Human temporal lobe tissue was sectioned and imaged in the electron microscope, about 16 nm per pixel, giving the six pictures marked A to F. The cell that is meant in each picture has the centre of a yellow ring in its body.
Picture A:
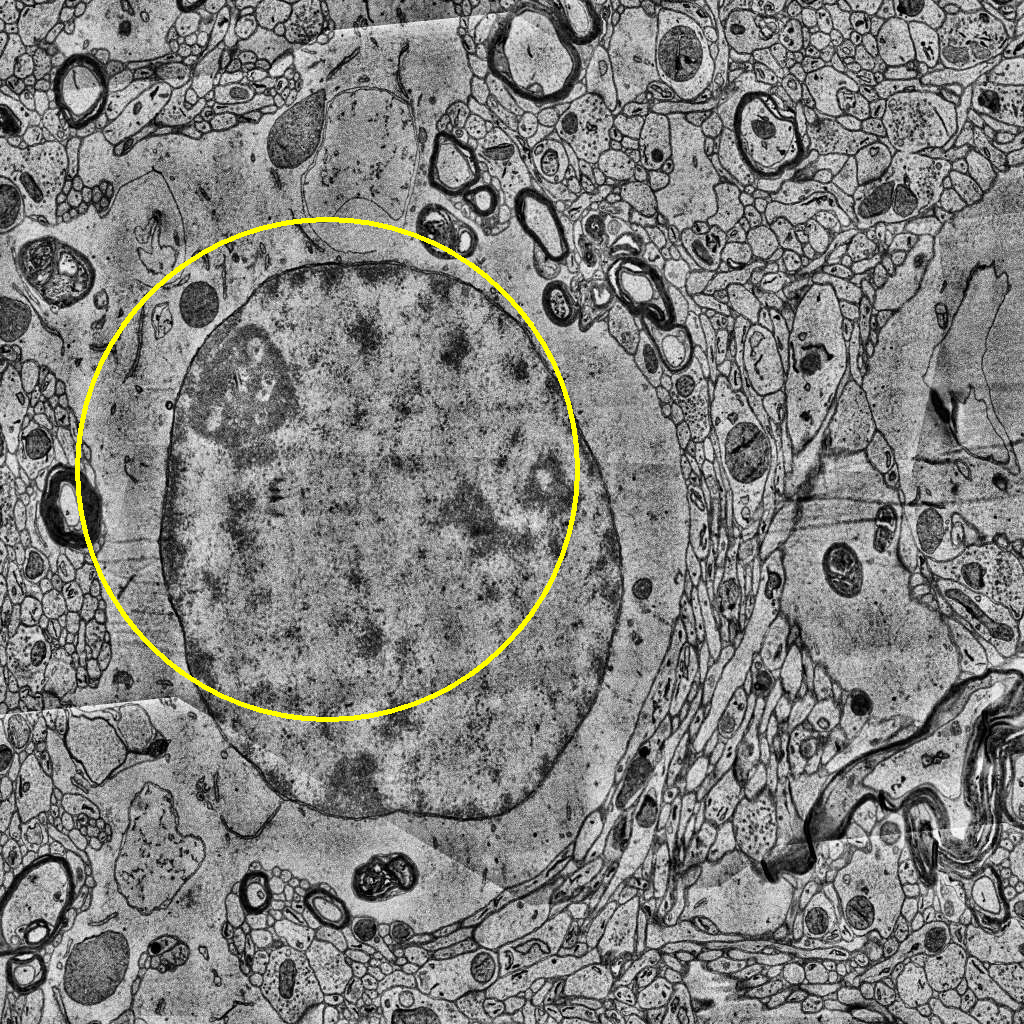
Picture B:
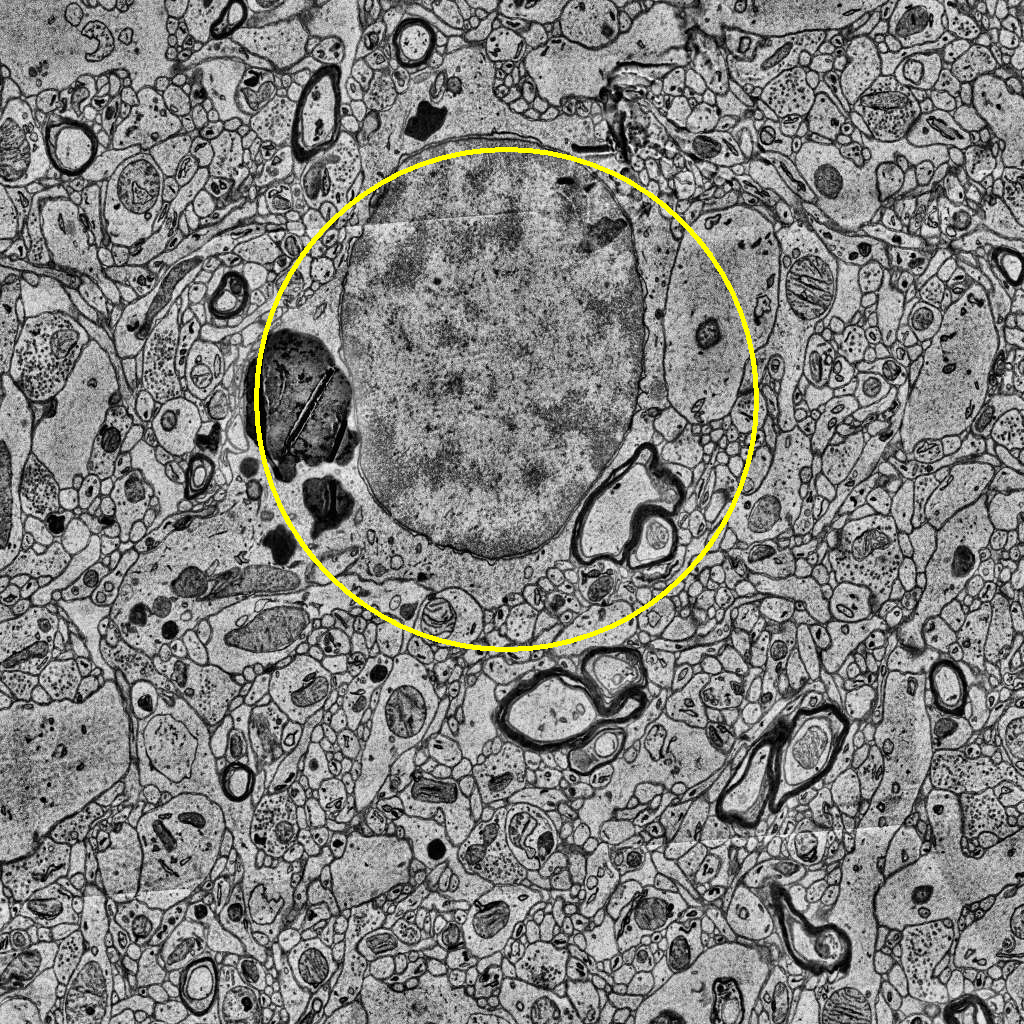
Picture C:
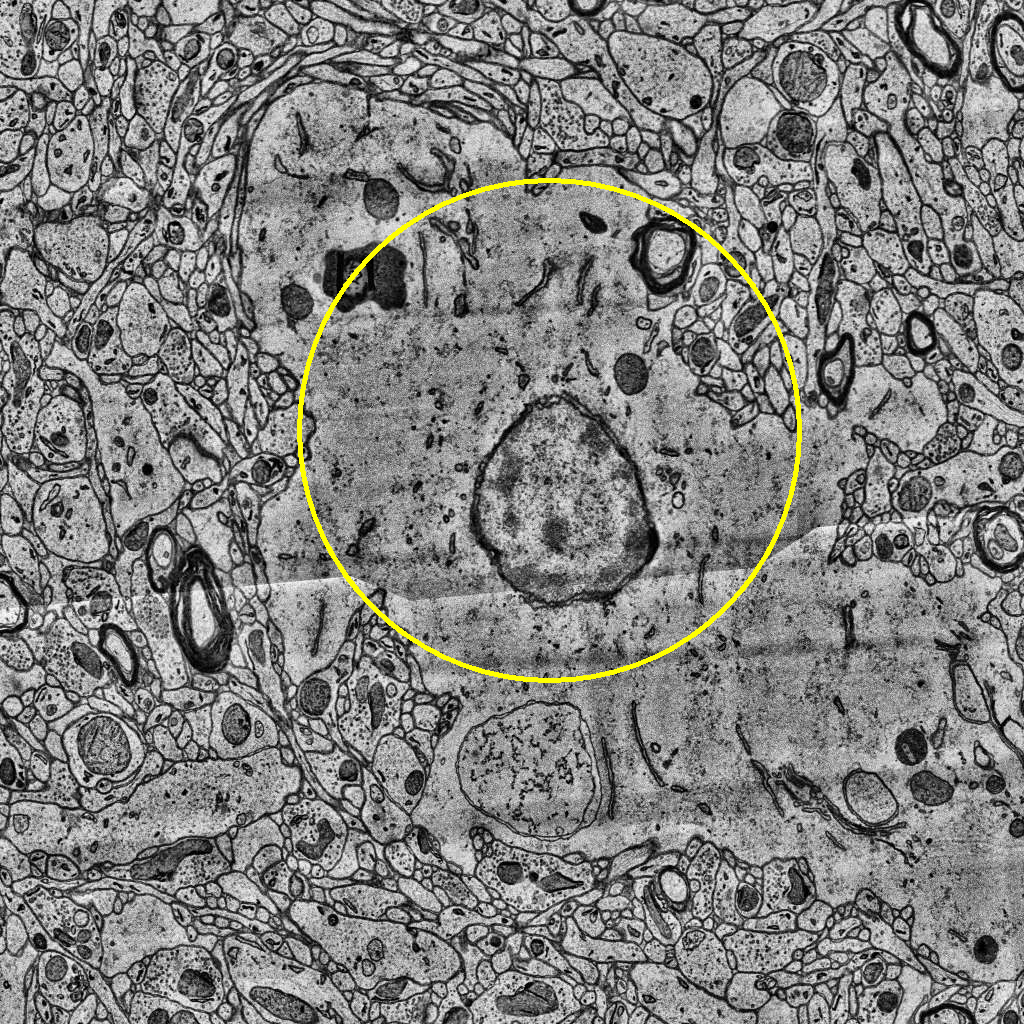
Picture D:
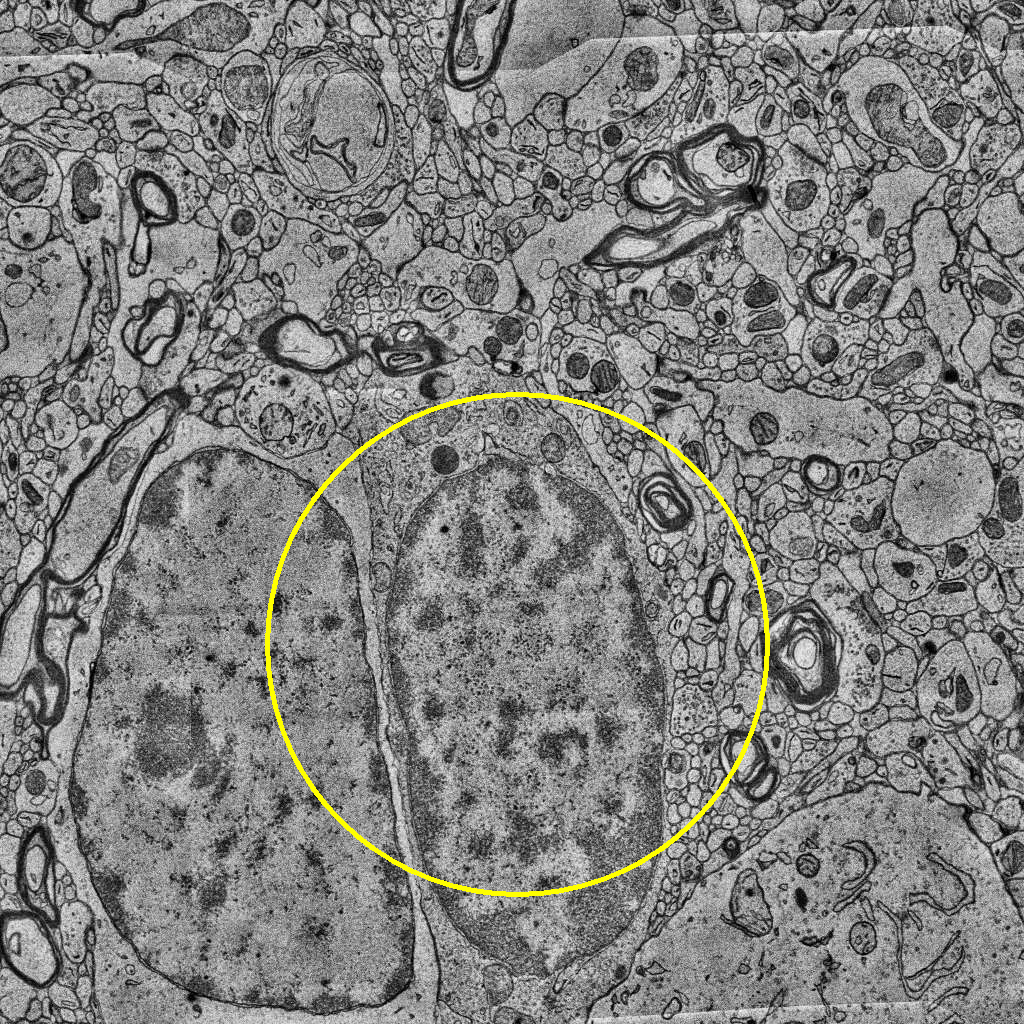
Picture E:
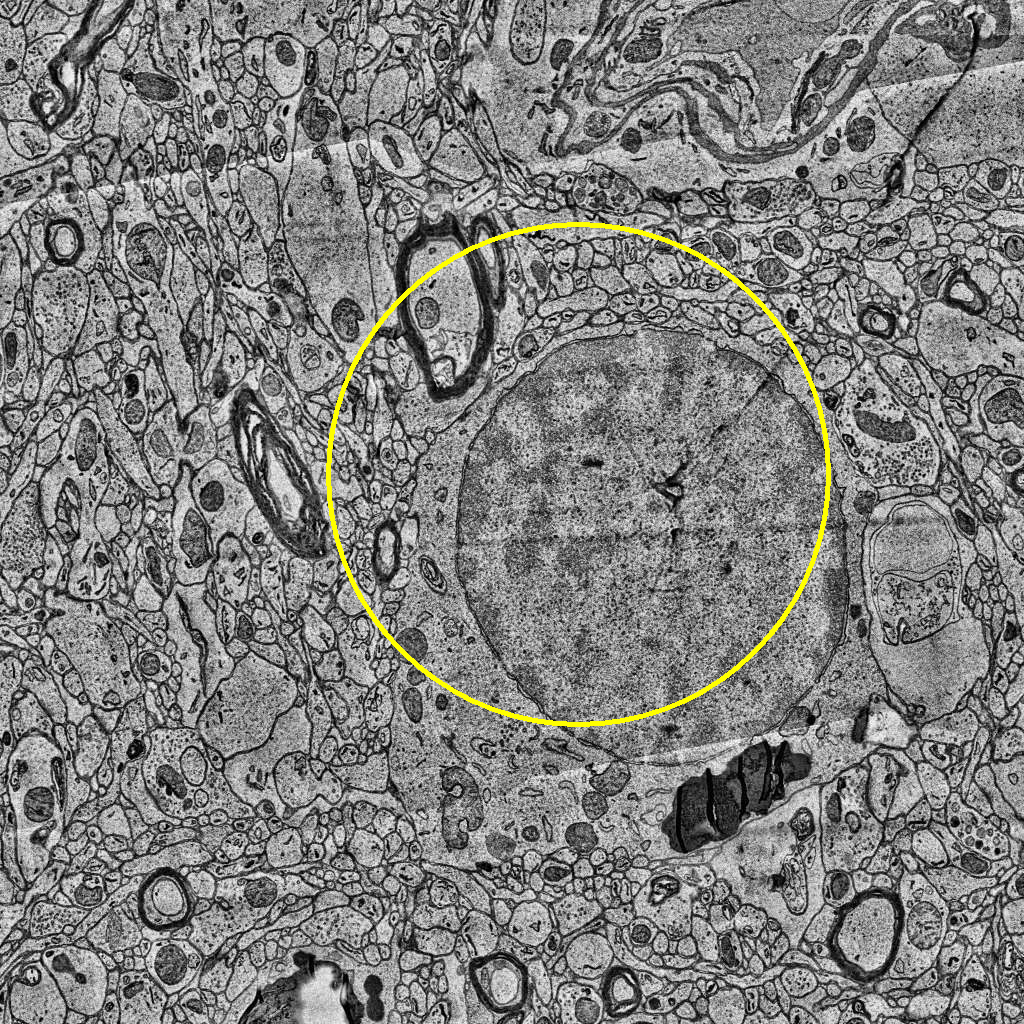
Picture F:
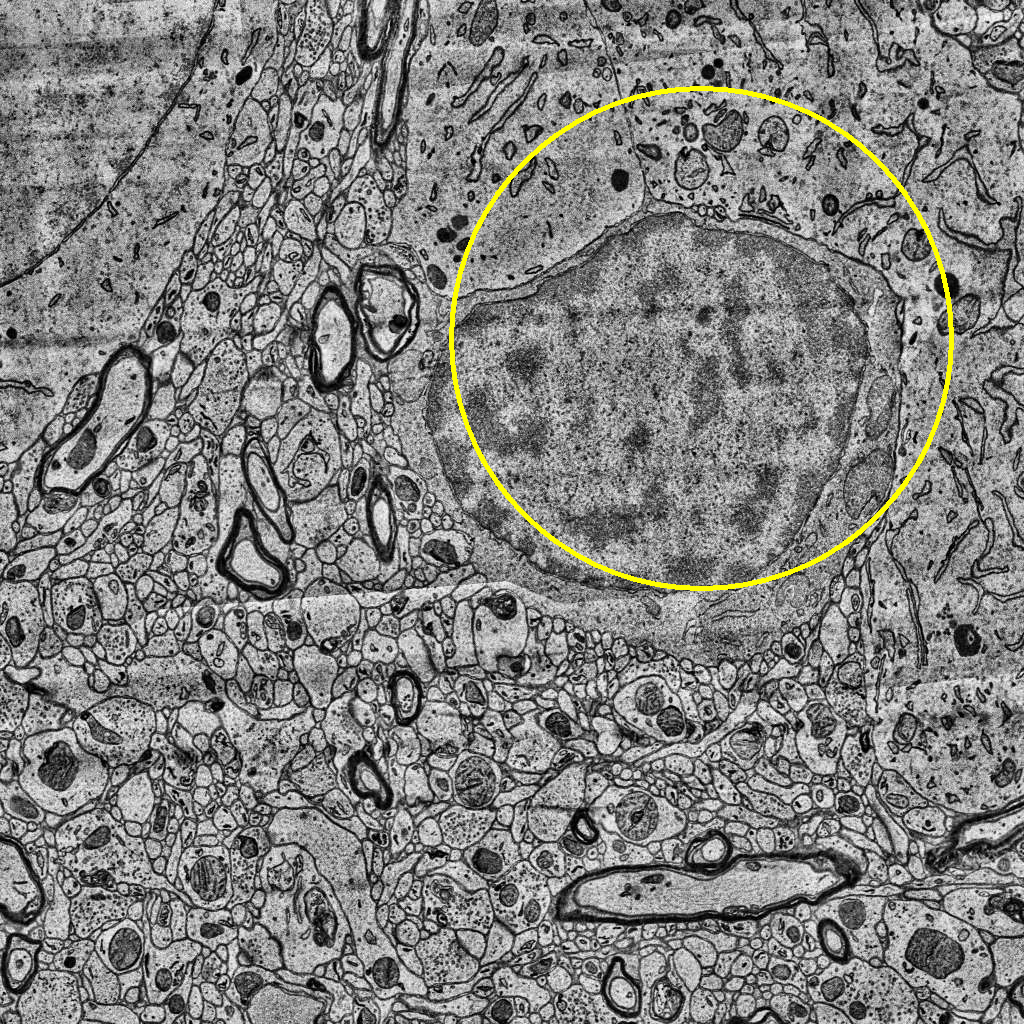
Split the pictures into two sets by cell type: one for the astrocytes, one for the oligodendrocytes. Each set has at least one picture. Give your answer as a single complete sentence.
Pictures A and C show astrocytes, while pictures B, D, E and F show oligodendrocytes.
